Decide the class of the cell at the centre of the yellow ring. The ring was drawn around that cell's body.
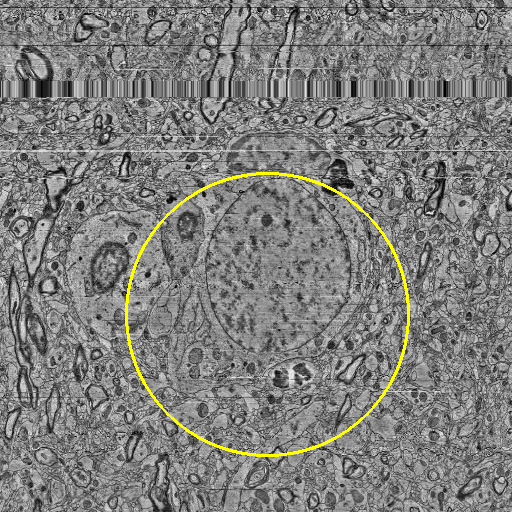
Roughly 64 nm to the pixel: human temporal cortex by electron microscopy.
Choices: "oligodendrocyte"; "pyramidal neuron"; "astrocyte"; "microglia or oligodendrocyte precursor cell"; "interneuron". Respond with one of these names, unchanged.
pyramidal neuron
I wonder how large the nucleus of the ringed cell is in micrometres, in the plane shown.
Approximately 12 micrometres long and 9 micrometres wide, in this plane.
